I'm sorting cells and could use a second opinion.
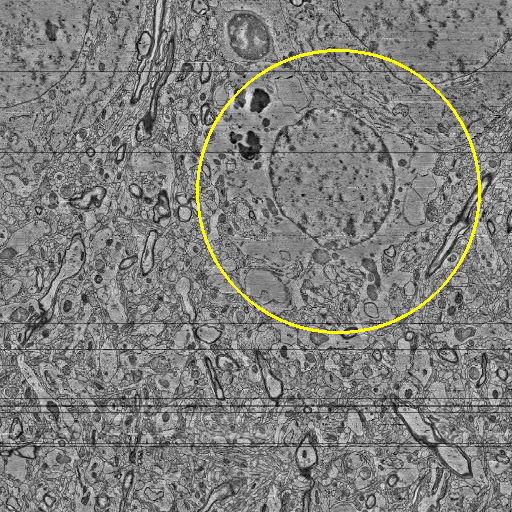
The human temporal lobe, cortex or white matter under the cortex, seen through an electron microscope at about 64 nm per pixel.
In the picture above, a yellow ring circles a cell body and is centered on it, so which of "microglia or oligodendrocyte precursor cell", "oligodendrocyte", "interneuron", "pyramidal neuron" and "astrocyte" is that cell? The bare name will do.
astrocyte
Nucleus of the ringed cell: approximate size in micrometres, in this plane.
The nucleus measures about 9 by 8 micrometres in this plane.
